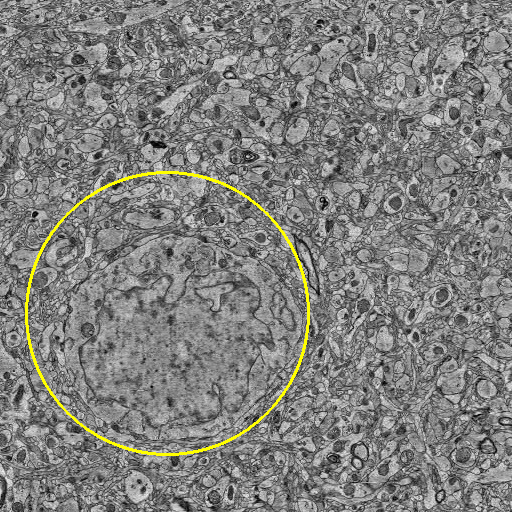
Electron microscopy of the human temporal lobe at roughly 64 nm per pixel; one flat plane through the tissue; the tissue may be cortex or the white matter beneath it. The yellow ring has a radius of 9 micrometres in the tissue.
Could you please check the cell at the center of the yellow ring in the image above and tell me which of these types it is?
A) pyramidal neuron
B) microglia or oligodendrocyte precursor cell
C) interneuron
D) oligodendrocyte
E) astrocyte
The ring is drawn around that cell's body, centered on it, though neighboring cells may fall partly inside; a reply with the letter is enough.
C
